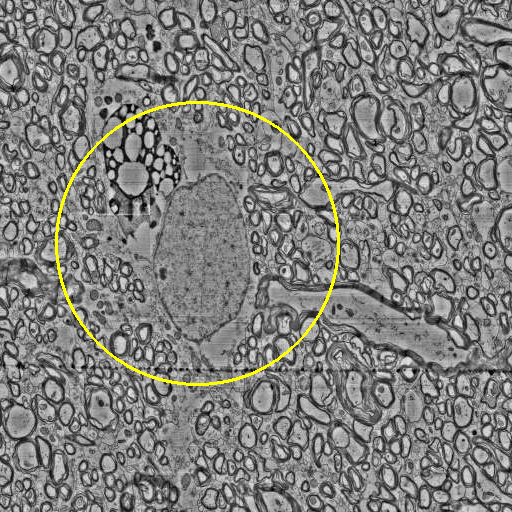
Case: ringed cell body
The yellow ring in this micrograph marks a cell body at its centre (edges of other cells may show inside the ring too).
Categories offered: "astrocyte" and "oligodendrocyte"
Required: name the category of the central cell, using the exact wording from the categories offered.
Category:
astrocyte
